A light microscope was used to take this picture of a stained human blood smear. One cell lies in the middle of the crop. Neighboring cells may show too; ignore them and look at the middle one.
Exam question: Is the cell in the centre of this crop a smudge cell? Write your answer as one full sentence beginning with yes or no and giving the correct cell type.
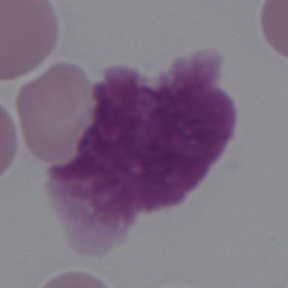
Yes, the cell right in the middle is a smudge cell.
